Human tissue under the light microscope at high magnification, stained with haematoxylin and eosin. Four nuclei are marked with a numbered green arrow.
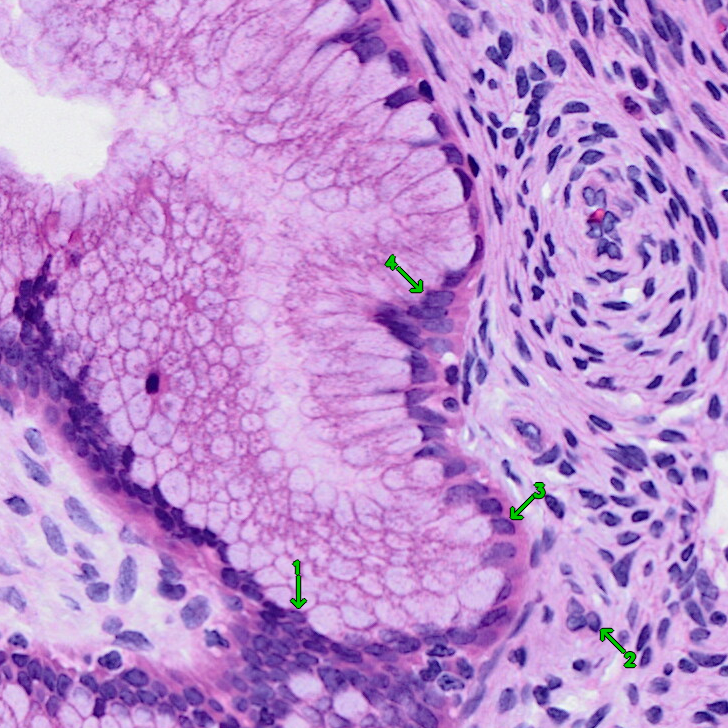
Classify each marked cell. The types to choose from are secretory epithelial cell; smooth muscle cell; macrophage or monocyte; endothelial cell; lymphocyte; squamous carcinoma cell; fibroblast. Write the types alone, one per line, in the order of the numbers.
secretory epithelial cell
endothelial cell
secretory epithelial cell
secretory epithelial cell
